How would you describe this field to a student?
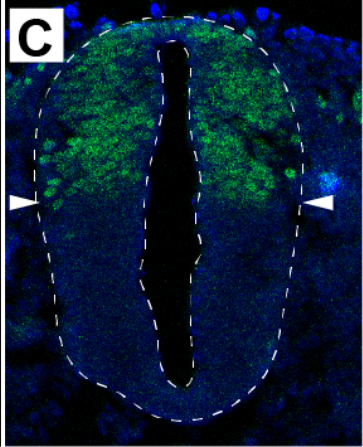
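The same kind of transverse section of the neural tube shows a wall of crowded nuclei around a narrow central lumen, with green nuclei filling the upper half of the wall on both sides. White arrowheads on the outer edge mark where the green territory ends, below which the ventral half of the neural progenitor wall shows only blue nuclei.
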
